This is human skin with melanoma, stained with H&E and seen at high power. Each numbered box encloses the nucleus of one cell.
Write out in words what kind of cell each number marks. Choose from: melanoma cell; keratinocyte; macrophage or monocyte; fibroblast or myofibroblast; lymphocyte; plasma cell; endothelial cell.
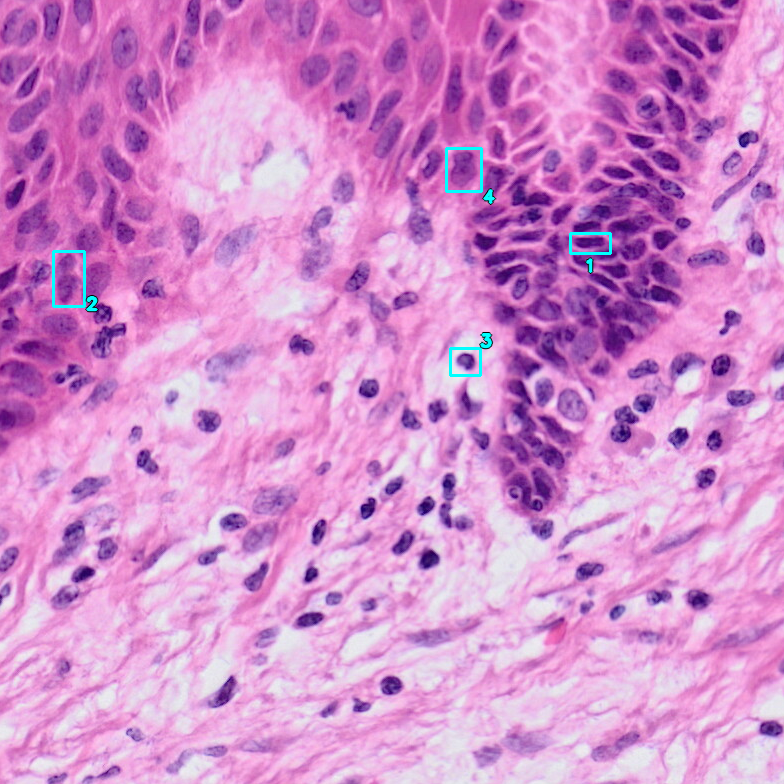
Cells 1, 2 and 4 are keratinocytes. Cell 3 is a lymphocyte.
